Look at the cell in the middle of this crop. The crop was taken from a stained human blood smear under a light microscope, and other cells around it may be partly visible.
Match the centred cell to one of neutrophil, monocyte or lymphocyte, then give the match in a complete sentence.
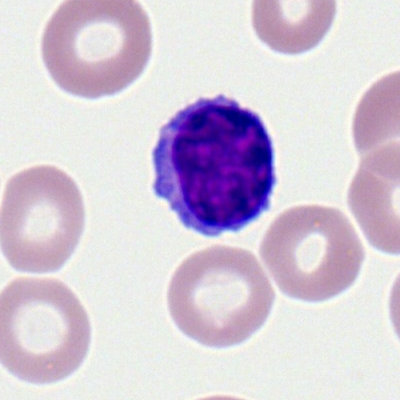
The central element of this crop is a cell, namely a lymphocyte.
